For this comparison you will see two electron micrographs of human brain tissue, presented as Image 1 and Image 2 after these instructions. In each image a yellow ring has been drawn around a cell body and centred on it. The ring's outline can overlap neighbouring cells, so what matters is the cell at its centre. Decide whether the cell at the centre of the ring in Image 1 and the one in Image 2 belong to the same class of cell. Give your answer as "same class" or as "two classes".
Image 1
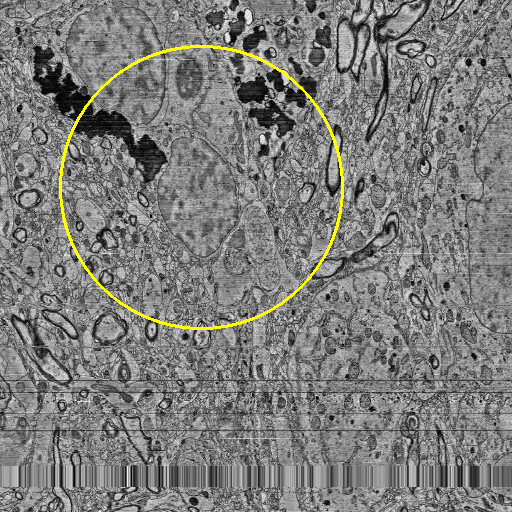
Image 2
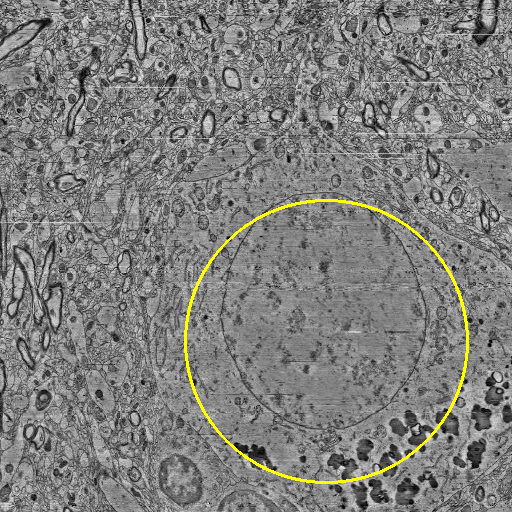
two classes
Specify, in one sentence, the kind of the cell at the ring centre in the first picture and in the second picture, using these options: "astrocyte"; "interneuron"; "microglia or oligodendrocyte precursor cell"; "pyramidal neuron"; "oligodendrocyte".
So the first is an oligodendrocyte, the second a pyramidal neuron.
